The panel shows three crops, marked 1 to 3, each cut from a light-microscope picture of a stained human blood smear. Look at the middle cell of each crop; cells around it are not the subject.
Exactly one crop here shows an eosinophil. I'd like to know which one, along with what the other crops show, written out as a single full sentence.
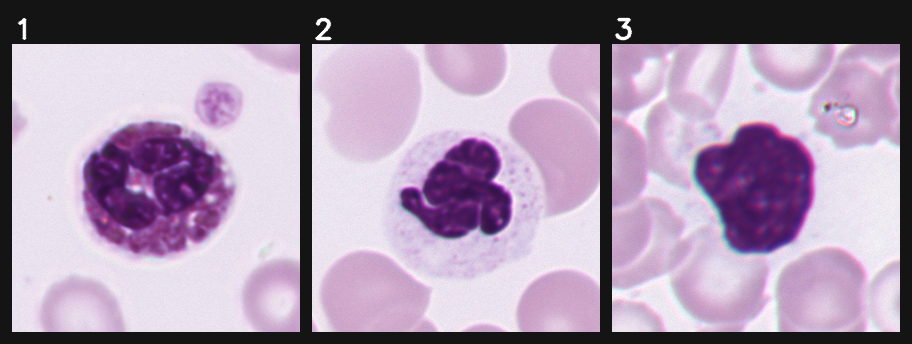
Crop 1 is best given as an eosinophil, while crop 2 is a neutrophil and crop 3 is a smudge cell.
